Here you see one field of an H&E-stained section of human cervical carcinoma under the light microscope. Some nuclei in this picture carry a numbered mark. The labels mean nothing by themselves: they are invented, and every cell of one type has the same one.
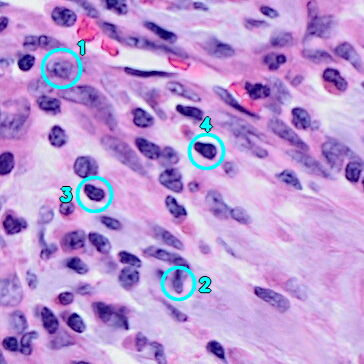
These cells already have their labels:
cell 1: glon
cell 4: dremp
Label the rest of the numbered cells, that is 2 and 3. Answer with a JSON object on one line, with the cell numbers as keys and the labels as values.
{"2": "dremp", "3": "dremp"}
